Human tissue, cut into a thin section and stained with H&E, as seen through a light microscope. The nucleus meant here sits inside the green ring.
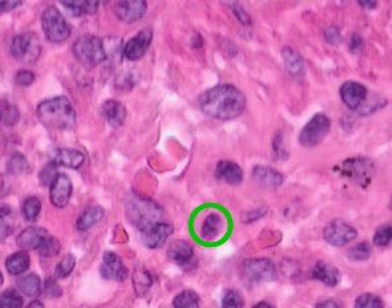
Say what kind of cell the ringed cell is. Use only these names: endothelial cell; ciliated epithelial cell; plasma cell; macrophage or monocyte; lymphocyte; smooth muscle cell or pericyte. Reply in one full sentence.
The classification of the ringed cell is as a lymphocyte.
